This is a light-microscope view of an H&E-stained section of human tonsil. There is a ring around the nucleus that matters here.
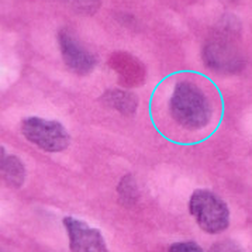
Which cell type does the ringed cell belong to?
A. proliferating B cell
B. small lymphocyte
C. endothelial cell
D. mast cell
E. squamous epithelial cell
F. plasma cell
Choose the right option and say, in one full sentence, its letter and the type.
Hey, it is option E: the ringed cell is a squamous epithelial cell.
